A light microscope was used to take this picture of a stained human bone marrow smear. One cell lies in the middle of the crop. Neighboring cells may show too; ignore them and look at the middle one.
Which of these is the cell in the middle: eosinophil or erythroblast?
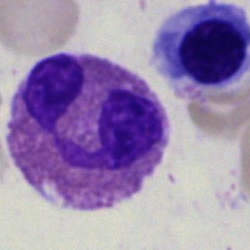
eosinophil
